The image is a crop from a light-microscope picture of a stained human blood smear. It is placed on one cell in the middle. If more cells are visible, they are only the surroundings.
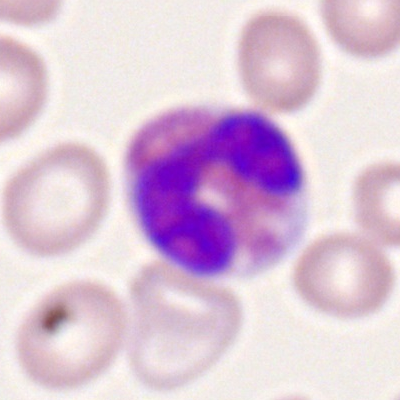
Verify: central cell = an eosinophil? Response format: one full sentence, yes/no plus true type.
Yes, the one cell at the centre is an eosinophil.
